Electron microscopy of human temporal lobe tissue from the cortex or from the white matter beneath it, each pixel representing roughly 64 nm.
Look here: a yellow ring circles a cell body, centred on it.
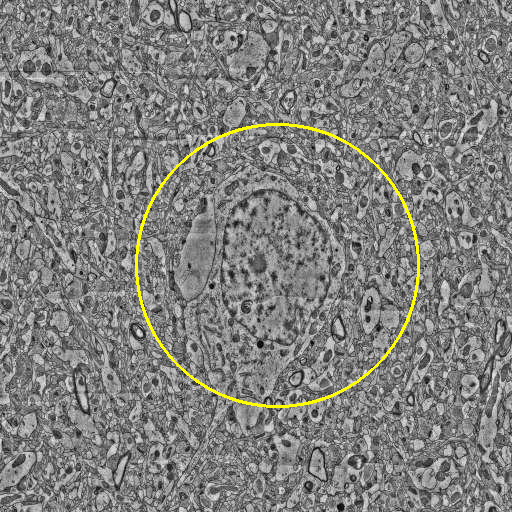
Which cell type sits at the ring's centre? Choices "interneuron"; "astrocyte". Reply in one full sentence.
The cell at the centre of the yellow ring in the picture is an interneuron.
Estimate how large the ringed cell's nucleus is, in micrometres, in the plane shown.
About 10 by 7 micrometers, in this plane.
